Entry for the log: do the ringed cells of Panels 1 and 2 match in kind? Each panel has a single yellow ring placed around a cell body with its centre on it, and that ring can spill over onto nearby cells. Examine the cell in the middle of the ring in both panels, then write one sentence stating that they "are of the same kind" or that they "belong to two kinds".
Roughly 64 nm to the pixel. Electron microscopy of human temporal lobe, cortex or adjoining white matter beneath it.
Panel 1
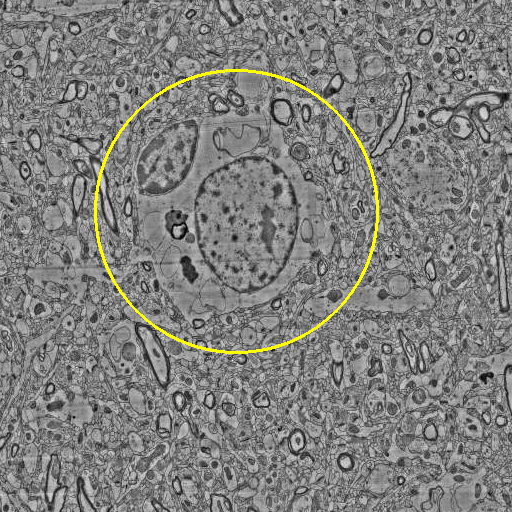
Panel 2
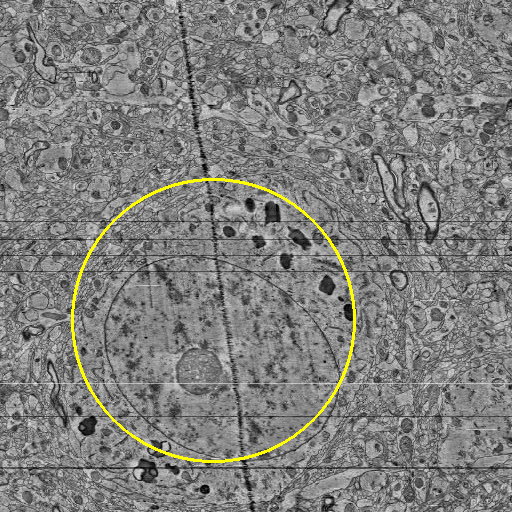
The centre cell of Panel 1's ring and that of Panel 2's ring belong to two kinds.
